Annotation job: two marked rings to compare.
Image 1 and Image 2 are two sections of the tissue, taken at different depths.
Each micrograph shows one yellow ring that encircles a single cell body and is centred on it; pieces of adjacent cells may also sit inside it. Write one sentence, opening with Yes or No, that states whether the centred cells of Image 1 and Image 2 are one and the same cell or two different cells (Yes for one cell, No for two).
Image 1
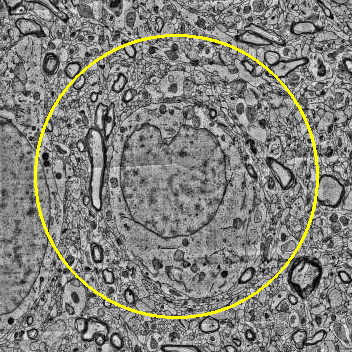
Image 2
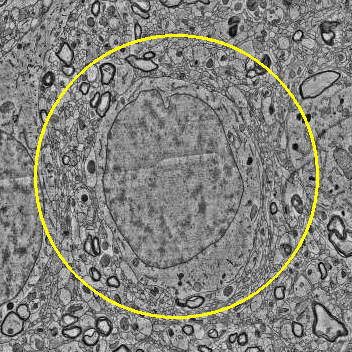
Yes, the rings do not mark different cells but one cell.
